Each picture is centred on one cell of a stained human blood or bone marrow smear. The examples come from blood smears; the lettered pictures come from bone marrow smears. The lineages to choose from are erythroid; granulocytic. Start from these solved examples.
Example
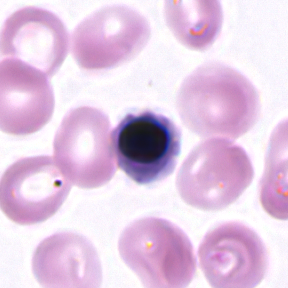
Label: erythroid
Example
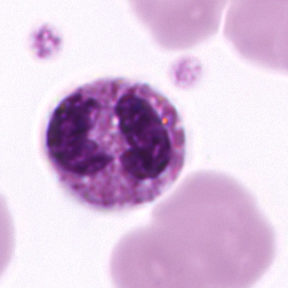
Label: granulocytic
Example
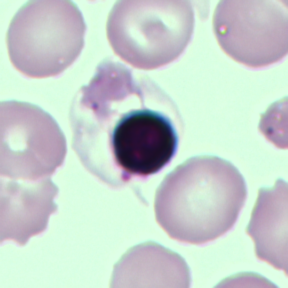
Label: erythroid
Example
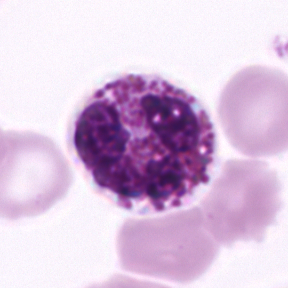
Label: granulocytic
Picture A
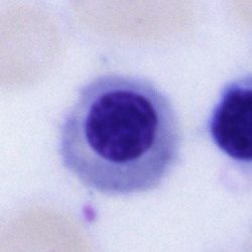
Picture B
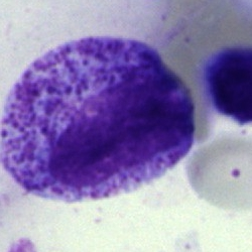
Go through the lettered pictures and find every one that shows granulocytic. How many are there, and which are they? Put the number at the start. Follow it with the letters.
1, namely B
